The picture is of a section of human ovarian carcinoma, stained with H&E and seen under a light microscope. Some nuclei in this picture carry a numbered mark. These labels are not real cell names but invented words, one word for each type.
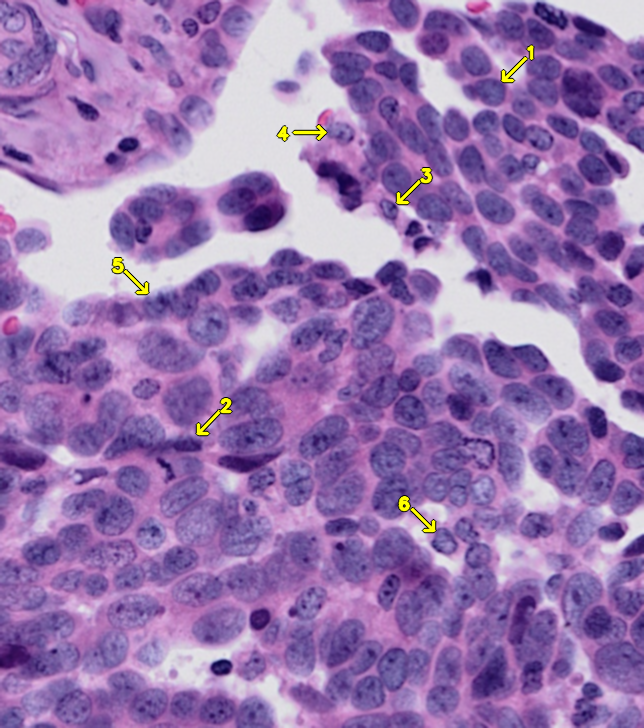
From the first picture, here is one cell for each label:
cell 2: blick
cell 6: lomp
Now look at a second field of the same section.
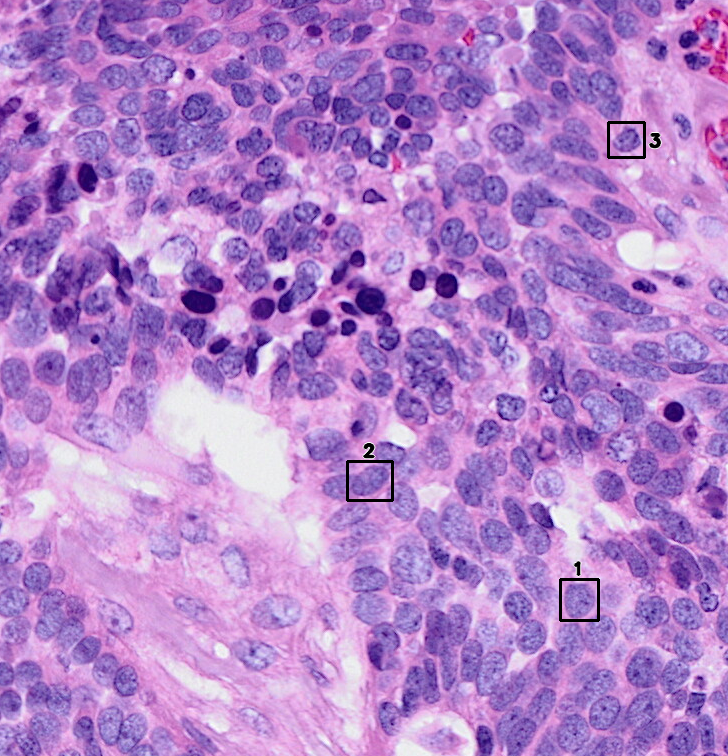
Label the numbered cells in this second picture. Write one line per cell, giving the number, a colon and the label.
1: blick
2: blick
3: lomp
